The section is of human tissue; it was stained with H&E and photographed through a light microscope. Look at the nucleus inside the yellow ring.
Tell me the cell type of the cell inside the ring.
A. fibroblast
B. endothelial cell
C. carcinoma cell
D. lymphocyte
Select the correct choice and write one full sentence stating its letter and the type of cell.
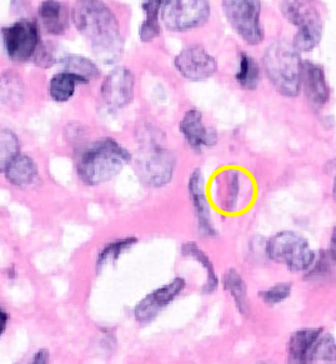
Right answer, option B: the cell inside the ring is an endothelial cell.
